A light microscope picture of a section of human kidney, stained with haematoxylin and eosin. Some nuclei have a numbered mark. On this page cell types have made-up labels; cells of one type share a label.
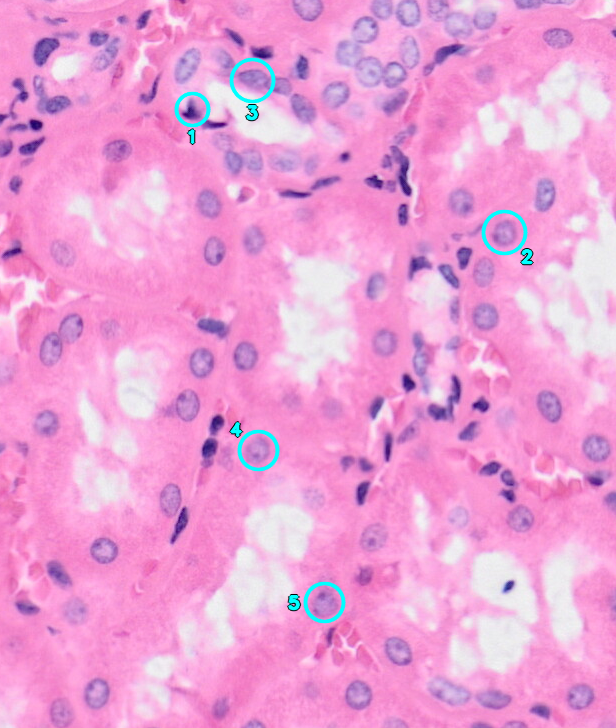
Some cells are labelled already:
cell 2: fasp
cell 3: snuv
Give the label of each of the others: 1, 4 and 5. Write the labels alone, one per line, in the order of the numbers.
snuv
fasp
fasp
